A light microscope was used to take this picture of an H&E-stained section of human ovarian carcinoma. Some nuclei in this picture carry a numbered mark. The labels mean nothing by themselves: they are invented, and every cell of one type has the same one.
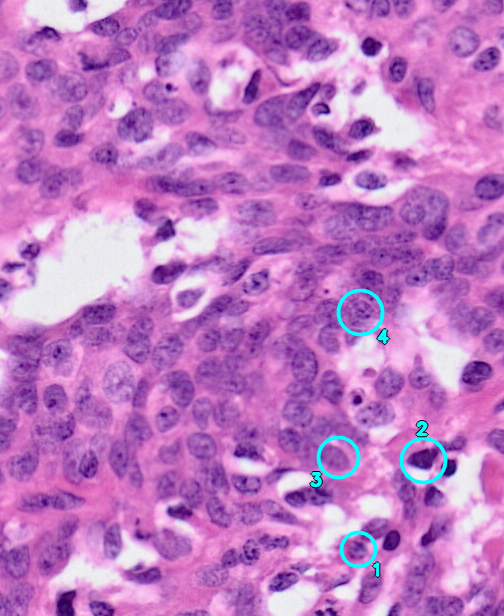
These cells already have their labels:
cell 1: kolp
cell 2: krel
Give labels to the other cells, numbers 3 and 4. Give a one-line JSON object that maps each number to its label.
{"3": "krel", "4": "krel"}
